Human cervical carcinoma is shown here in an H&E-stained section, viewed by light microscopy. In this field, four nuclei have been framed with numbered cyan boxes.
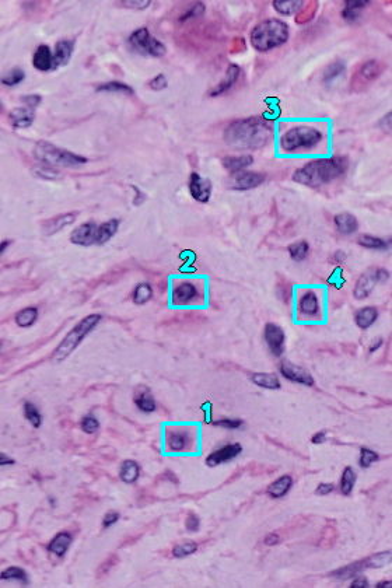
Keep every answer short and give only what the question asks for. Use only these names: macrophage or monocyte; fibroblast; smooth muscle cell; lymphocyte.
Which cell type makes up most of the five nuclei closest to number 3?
macrophage or monocyte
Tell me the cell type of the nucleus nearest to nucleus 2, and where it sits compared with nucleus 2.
a smooth muscle cell; to the left of nucleus 2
